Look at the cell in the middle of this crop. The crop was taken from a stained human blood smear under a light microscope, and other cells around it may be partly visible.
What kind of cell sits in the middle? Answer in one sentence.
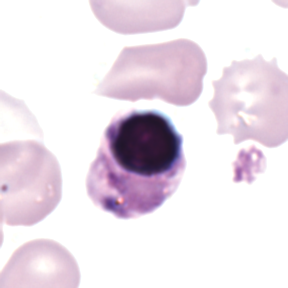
The central cell in this smear crop is a normoblast.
